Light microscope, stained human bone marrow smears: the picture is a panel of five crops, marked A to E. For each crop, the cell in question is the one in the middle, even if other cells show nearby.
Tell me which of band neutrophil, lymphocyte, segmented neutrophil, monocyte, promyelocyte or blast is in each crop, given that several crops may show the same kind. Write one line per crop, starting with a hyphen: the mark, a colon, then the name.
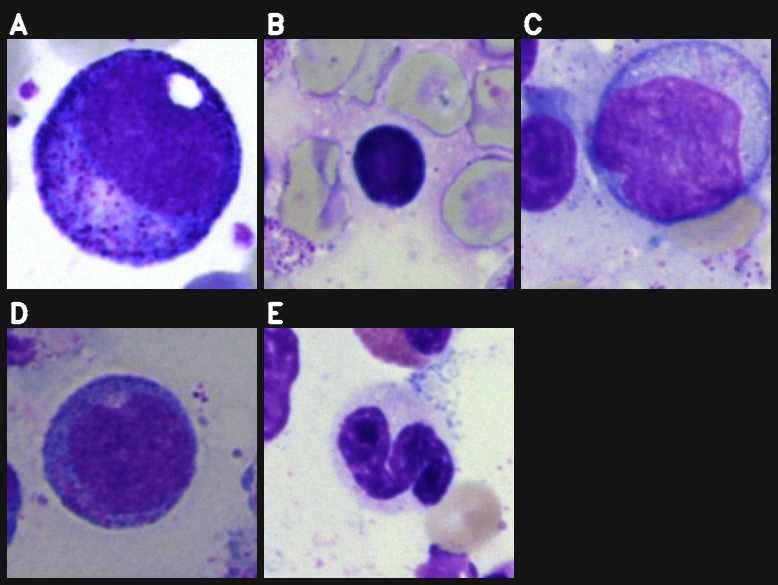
- A: promyelocyte
- B: lymphocyte
- C: blast
- D: blast
- E: segmented neutrophil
